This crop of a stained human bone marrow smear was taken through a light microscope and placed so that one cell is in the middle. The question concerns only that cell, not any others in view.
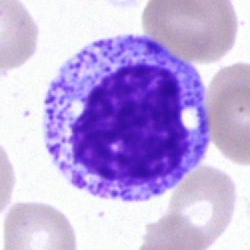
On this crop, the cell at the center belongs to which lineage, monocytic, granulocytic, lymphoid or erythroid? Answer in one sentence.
As for the middle cell, it is a member of the granulocytic lineage.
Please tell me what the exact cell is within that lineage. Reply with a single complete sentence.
Present in the middle of the crop is a myelocyte.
